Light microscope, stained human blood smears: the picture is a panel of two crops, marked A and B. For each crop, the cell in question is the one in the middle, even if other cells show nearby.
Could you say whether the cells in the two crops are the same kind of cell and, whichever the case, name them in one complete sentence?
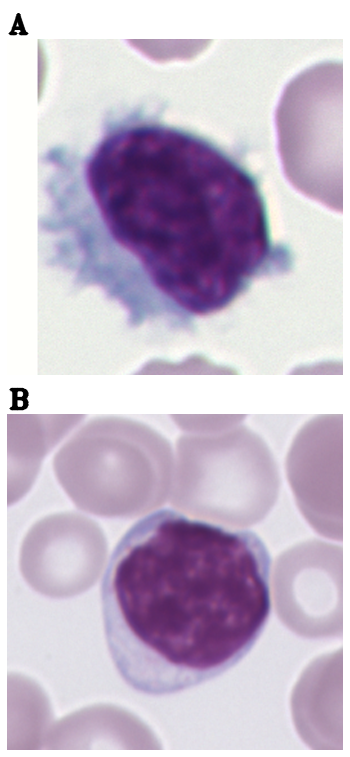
No, crop A carries a hairy cell at its centre, and crop B carries a large granular lymphocyte.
